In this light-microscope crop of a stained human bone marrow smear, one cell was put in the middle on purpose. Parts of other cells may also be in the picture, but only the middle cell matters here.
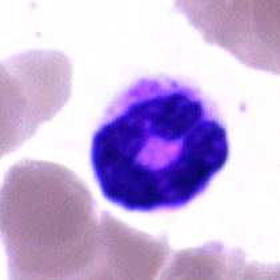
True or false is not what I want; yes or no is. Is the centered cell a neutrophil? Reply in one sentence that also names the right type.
Yes, this is a neutrophil, the cell in the middle of the crop.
